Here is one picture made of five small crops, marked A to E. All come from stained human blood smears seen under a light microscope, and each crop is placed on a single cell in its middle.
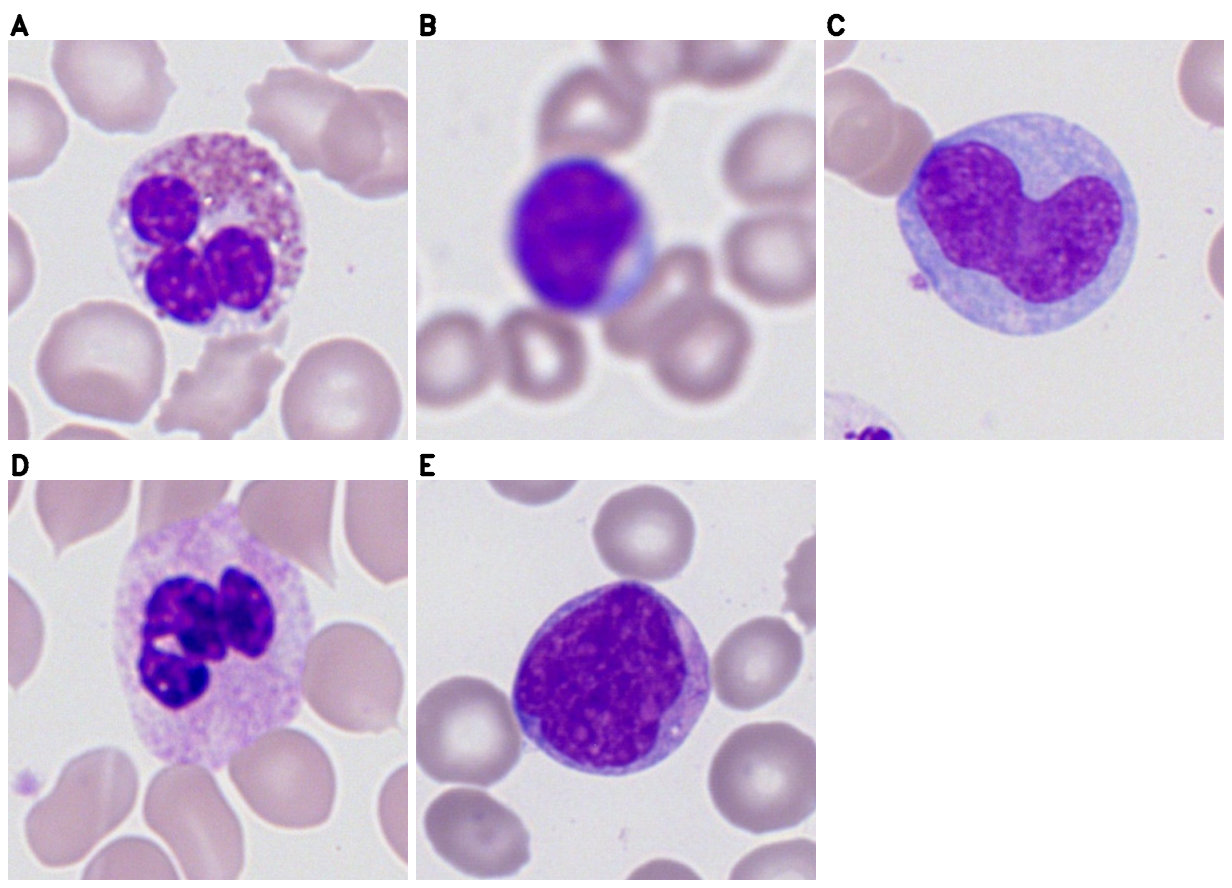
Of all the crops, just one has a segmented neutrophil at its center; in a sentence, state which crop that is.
That would be crop D; it shows a segmented neutrophil.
